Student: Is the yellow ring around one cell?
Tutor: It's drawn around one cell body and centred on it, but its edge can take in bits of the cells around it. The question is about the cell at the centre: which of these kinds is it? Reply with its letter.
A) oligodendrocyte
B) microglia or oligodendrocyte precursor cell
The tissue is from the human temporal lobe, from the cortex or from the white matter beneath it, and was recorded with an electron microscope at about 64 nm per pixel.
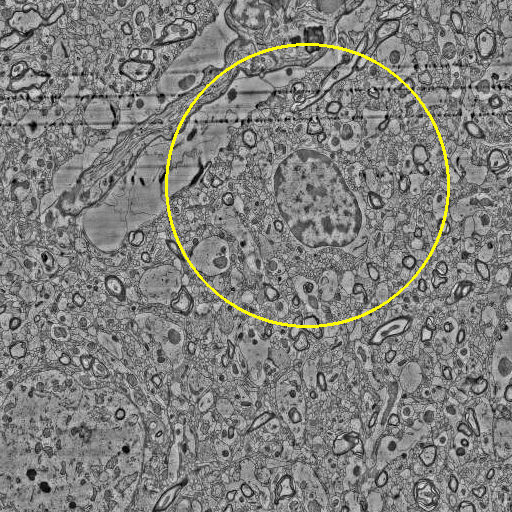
B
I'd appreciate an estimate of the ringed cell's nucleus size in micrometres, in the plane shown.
About 7 micrometres by about 5 micrometres in this plane.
